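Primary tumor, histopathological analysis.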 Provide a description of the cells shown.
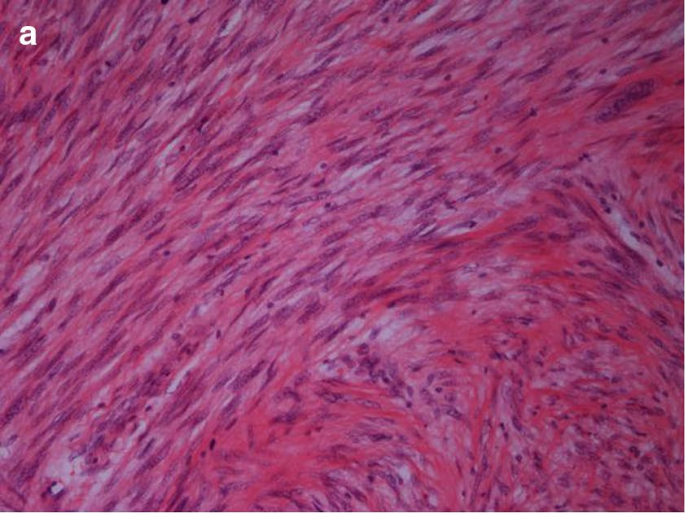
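This is a malignant spindle cell tumour made of pleomorphic spindle cells. The cells are elongated with pink cytoplasm and tapering, cigar-shaped nuclei, and they are packed densely in long fascicles that sweep and intersect at different angles. Nuclei are mostly purple and elongated but vary in size and staining, with occasional larger, darker nuclei. Between the cells lies pink fibrillary material, and in places the fascicles turn in whorls. Paler areas with looser cells alternate with denser, more eosinophilic bundles. No normal tissue structure is recognisable in the field.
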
